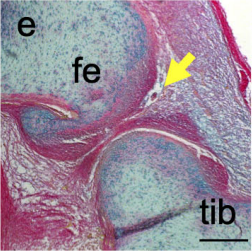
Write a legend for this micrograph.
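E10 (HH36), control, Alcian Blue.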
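This section shows a developing knee joint with the cartilaginous ends of the femur above and the tibiotarsus below. Both cartilage elements stain pale blue and are filled with small, evenly scattered dark nuclei of chondrocytes. Their rounded surfaces are bordered by a band of pink-red fibrous tissue that also fills the region between them. Within this intervening tissue a narrow white cleft has opened, marking the beginning of a joint cavity. Looser pink connective tissue surrounds the joint at the edges of the field.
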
